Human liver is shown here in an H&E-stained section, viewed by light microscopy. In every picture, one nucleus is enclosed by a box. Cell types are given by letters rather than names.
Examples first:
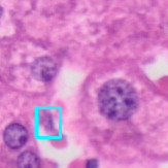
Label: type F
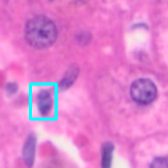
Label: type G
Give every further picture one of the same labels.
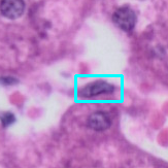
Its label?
type F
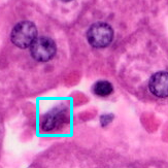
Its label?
type F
